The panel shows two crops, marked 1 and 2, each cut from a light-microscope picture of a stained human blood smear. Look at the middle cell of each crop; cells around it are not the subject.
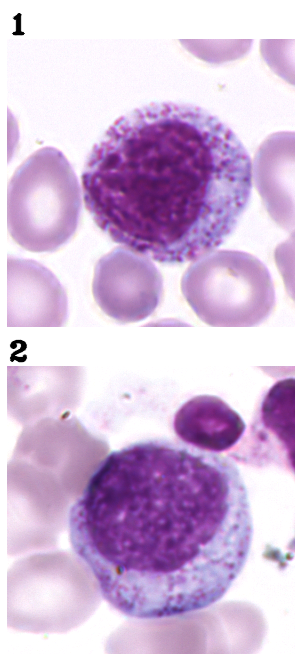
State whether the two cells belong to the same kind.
no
